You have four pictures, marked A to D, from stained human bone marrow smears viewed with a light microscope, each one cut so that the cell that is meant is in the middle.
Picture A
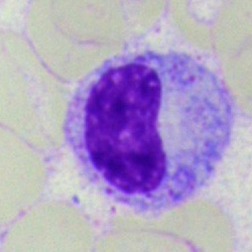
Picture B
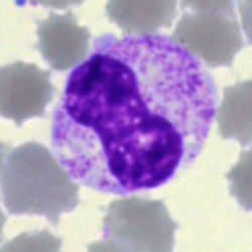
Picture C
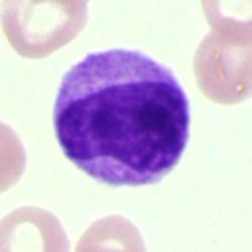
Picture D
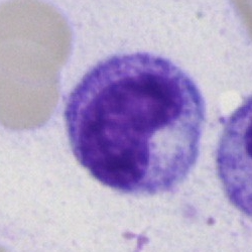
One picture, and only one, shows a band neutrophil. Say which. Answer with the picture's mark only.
B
